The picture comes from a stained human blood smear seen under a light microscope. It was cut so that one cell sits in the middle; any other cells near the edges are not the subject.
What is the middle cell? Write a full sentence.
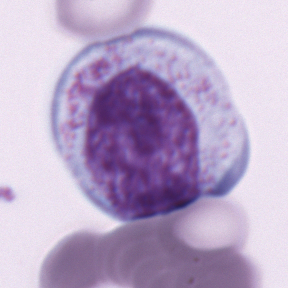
This crop is built around a myelocyte at its centre.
